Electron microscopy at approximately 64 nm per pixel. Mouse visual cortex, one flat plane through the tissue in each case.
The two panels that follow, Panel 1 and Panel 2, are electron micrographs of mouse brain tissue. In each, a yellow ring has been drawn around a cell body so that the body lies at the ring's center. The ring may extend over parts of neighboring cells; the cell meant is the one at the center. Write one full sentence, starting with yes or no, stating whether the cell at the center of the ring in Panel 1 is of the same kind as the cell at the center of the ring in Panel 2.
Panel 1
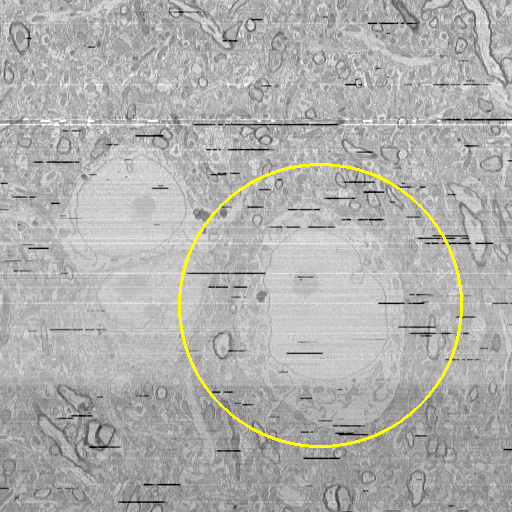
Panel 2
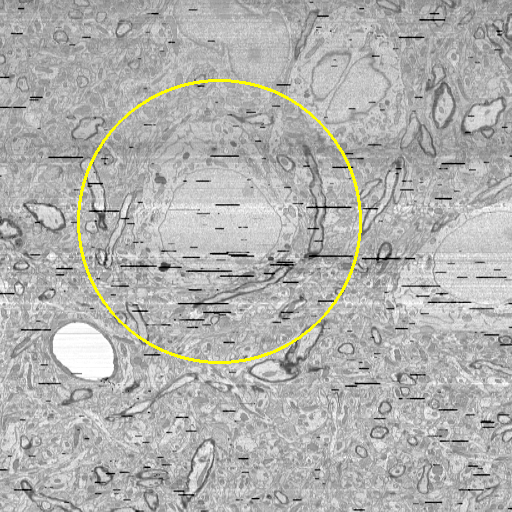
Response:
Yes, the cells in both panels are of the same kind.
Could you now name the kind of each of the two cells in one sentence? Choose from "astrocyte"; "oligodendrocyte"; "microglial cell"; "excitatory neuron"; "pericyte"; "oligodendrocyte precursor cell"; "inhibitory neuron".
Each of the two pictures has an excitatory neuron at the ring centre.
